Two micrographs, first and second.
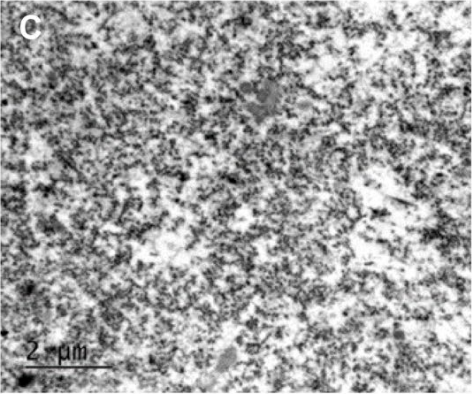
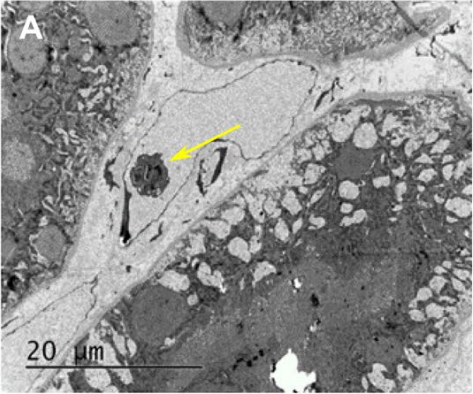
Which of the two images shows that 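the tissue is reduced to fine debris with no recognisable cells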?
The first image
